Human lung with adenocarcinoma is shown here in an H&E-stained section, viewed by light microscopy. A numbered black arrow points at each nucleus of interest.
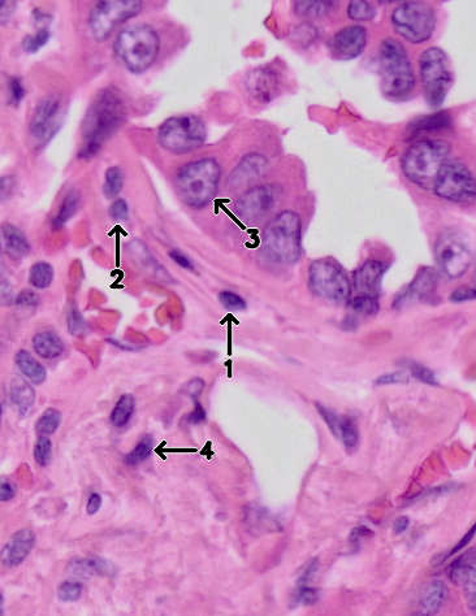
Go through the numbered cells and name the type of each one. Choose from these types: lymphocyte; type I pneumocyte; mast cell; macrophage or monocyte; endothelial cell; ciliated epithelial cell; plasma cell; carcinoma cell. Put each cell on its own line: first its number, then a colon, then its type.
1: lymphocyte
2: lymphocyte
3: carcinoma cell
4: plasma cell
